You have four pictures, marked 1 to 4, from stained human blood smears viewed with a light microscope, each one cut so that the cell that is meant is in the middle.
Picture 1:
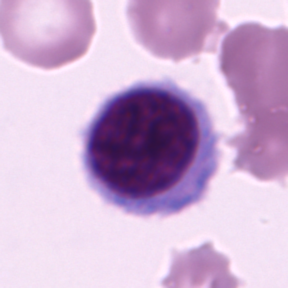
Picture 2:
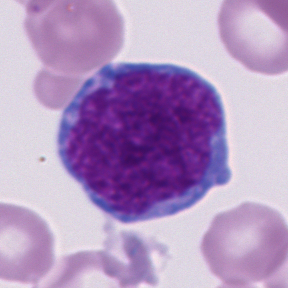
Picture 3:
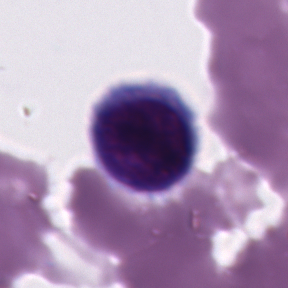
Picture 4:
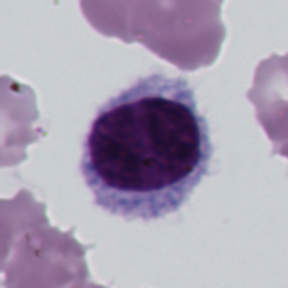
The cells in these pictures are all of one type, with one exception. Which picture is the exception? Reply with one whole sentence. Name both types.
Picture 2 is the odd one out: it shows a myeloblast, while the others show hairy cells.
